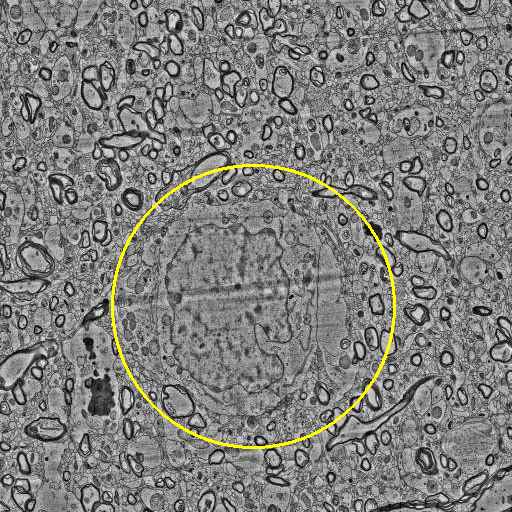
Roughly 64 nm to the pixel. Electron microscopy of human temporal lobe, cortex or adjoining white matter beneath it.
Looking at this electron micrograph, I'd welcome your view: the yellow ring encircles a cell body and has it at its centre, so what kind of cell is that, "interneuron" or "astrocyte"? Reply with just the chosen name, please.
interneuron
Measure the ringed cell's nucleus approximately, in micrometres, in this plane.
In this plane, roughly 11 by 8 micrometres.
